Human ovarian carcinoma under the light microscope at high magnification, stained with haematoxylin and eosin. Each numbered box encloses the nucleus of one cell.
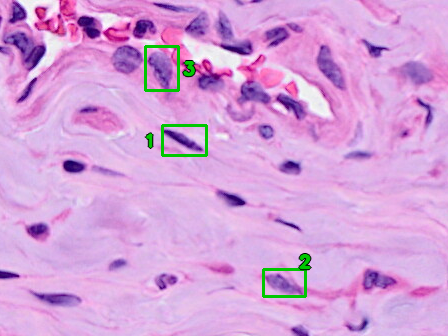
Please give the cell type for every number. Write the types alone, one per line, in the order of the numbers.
fibroblast
smooth muscle cell
endothelial cell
